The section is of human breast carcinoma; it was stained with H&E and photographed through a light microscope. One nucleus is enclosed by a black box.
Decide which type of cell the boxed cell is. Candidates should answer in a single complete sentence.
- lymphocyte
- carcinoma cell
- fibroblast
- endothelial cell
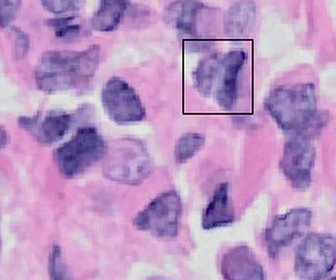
What the boxed cell represents is a carcinoma cell.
